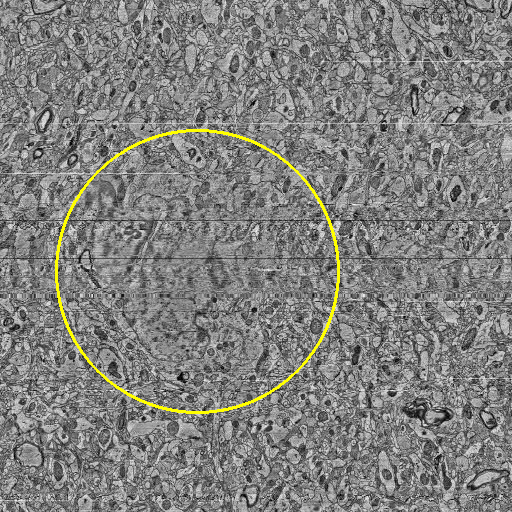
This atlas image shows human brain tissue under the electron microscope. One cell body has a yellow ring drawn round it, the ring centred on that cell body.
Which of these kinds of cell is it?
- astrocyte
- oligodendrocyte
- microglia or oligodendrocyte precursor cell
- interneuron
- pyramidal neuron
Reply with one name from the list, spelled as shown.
interneuron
